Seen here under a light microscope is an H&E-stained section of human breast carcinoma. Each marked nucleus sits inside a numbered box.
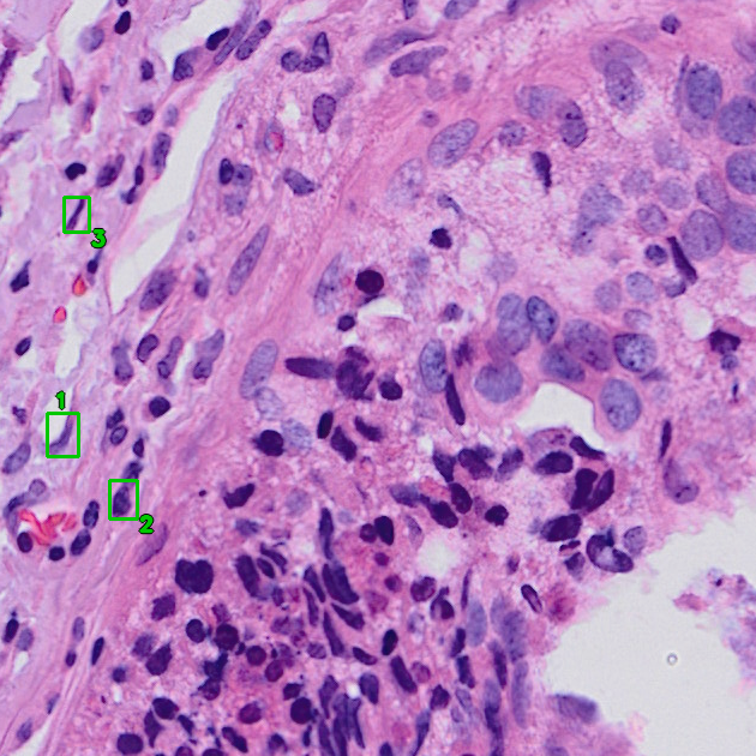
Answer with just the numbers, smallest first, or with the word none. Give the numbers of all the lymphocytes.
2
